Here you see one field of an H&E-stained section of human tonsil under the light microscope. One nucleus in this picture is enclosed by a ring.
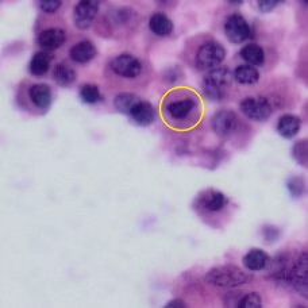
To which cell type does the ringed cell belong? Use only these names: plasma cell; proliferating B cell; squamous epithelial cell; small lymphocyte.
plasma cell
